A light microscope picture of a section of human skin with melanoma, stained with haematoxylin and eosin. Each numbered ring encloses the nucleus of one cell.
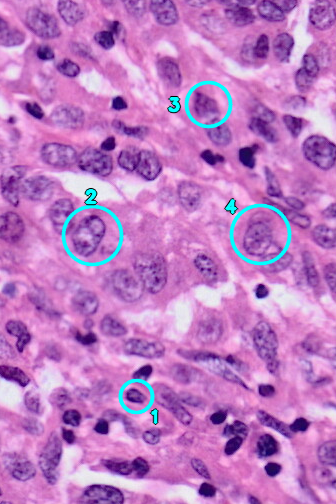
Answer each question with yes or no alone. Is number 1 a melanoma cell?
no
